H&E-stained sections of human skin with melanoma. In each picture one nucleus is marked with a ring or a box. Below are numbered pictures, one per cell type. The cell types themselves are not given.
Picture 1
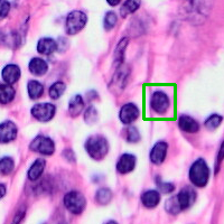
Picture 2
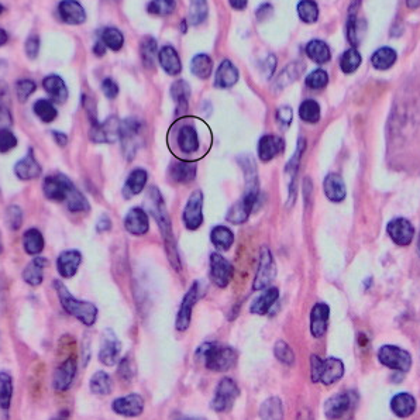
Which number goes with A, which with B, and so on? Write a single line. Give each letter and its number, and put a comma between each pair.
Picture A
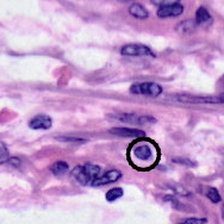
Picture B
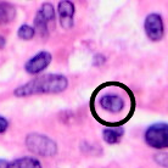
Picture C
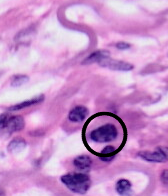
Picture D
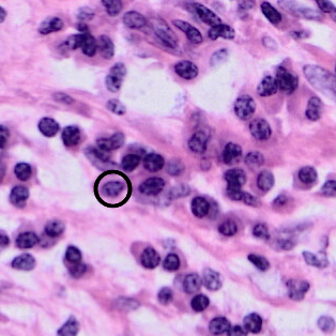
A 1, B 1, C 2, D 2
